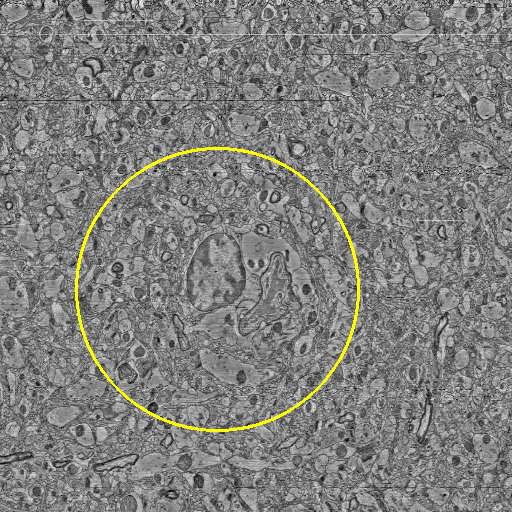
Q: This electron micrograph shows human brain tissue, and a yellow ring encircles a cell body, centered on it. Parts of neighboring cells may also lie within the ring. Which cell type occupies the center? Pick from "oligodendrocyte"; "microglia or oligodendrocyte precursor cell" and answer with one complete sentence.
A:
What sits at the ring's center in this micrograph is a microglial cell or oligodendrocyte precursor cell, among those choices.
